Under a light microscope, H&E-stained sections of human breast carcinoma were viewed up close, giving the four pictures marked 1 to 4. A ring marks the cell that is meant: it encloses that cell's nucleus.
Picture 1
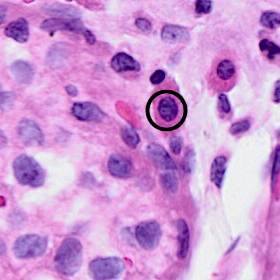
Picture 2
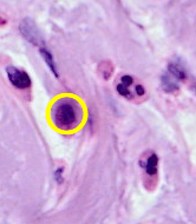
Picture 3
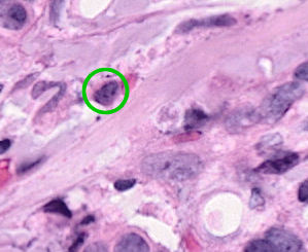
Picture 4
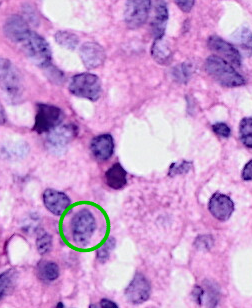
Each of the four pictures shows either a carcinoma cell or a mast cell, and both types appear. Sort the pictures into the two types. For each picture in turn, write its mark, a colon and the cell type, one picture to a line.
1: mast cell
2: mast cell
3: mast cell
4: carcinoma cell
